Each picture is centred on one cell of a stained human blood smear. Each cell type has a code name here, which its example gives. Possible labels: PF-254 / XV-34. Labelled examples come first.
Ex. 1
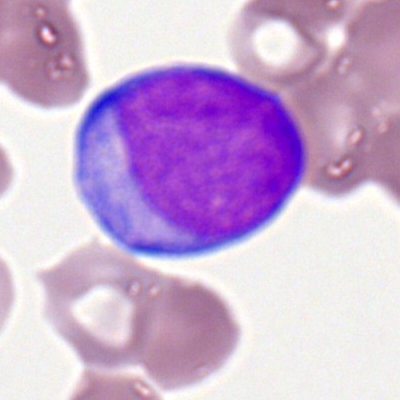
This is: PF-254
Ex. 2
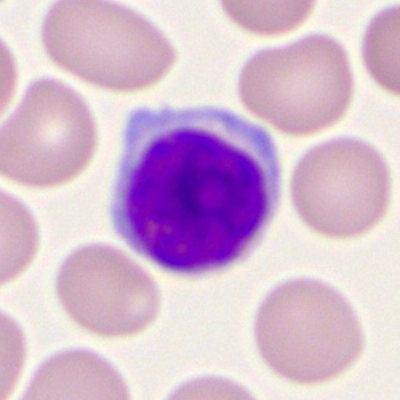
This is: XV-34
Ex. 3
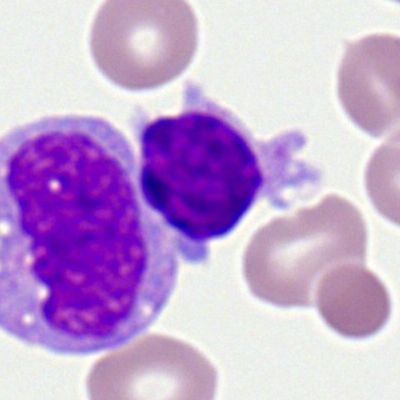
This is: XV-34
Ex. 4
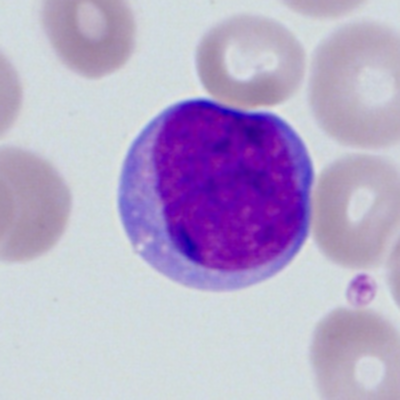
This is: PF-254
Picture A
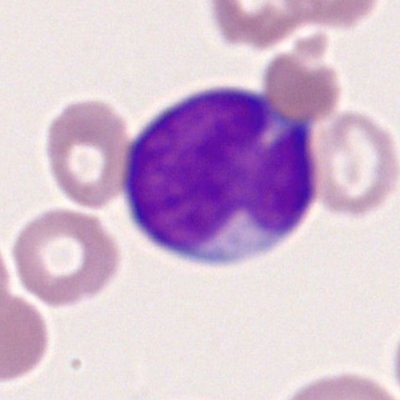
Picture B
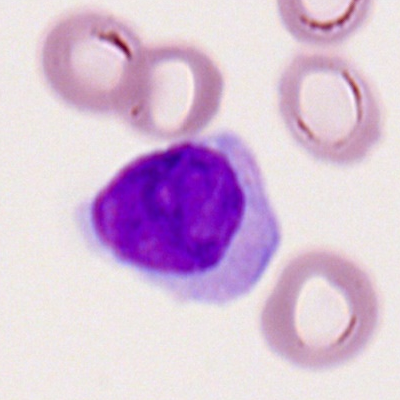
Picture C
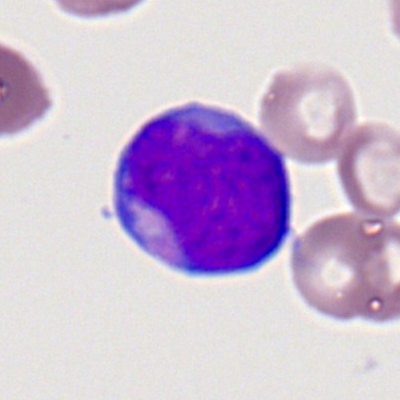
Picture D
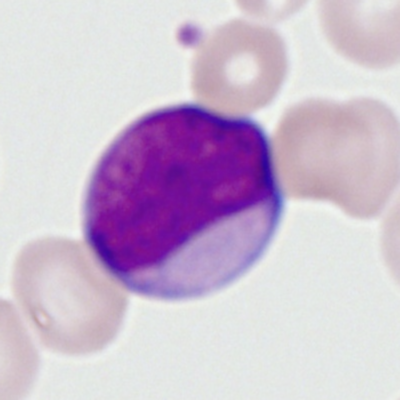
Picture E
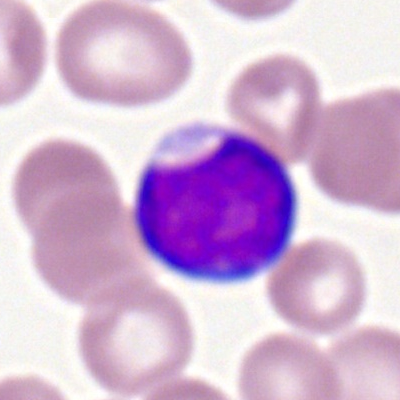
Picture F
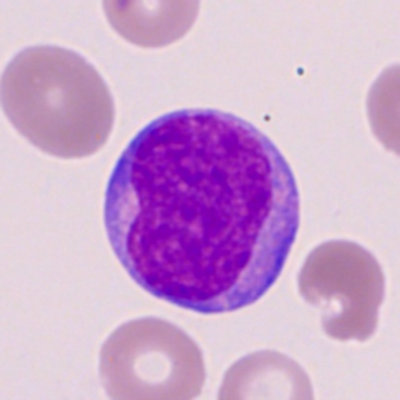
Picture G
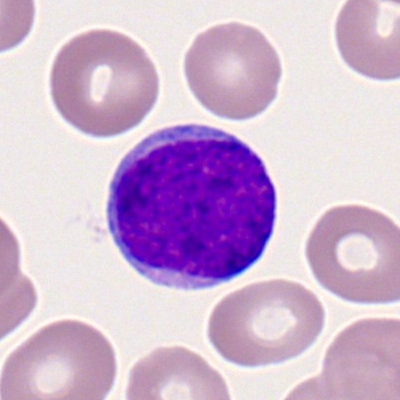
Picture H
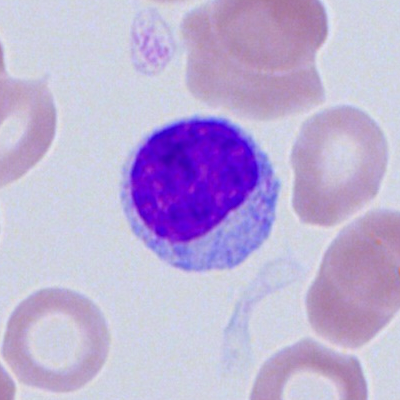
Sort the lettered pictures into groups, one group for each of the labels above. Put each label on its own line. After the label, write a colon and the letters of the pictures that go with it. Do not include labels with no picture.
PF-254: A, C, D, E, F, G
XV-34: B, H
